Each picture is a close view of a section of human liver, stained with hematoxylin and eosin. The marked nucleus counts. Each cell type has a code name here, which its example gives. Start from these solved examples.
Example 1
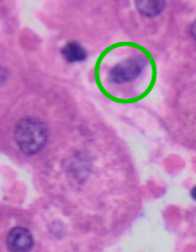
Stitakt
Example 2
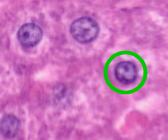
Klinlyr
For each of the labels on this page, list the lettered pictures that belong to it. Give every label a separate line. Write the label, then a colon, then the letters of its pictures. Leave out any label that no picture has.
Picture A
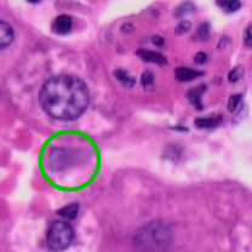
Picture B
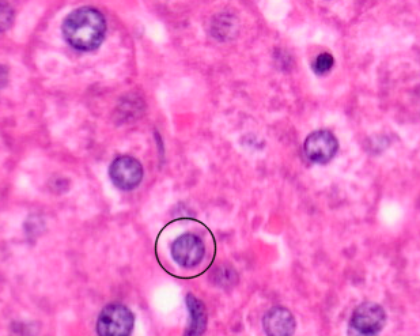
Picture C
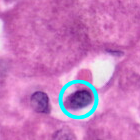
Stitakt: A, C
Klinlyr: B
